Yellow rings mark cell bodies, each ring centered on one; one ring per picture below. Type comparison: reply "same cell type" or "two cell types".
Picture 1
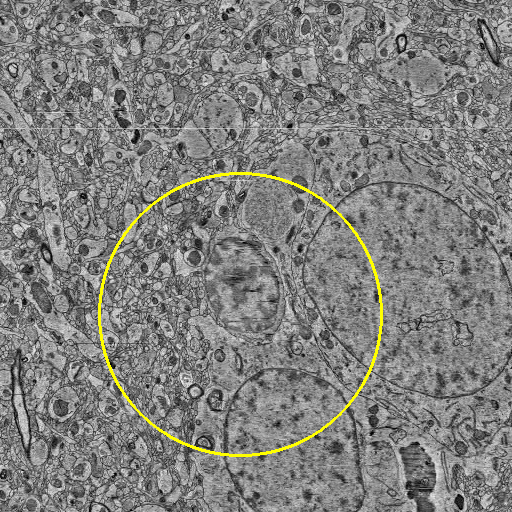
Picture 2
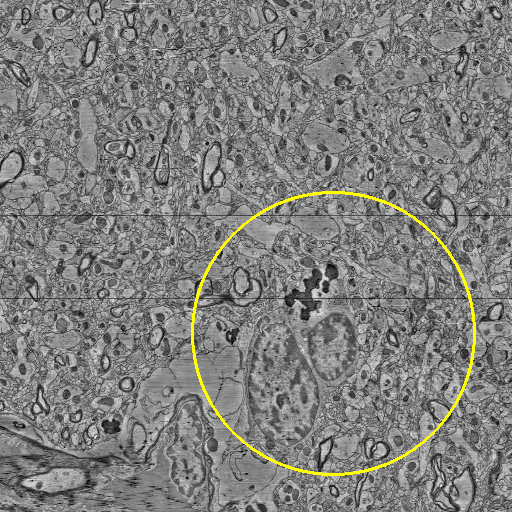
same cell type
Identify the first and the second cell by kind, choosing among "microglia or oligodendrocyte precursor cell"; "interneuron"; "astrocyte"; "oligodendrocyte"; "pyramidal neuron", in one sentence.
Each cell, in the first picture and the second, is an oligodendrocyte.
